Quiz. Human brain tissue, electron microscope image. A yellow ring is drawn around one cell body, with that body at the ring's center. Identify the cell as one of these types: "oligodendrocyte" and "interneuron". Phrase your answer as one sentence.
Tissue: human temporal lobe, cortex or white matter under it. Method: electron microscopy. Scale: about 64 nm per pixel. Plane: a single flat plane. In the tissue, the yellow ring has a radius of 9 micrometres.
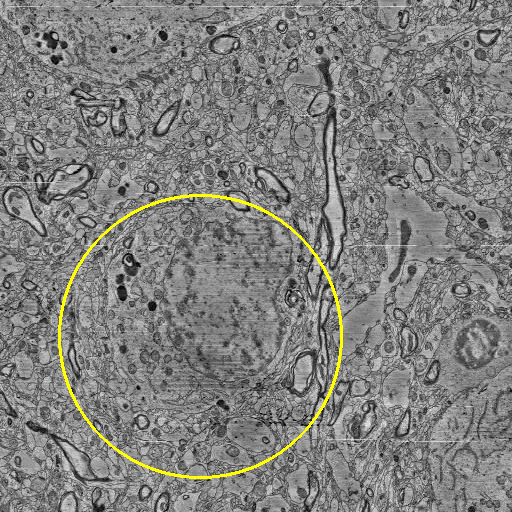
At the center of the ring sits an interneuron.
